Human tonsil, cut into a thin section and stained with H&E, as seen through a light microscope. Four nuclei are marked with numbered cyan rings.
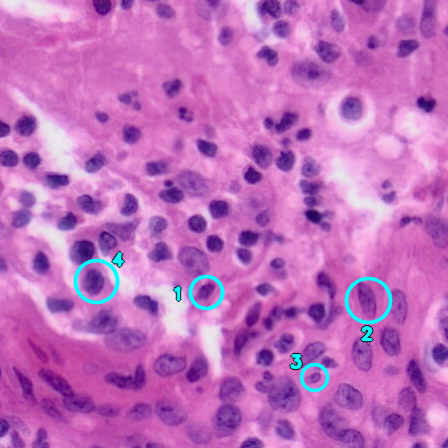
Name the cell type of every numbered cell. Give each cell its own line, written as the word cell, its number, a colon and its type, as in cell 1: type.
cell 1: squamous epithelial cell
cell 2: squamous epithelial cell
cell 3: squamous epithelial cell
cell 4: proliferating B cell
